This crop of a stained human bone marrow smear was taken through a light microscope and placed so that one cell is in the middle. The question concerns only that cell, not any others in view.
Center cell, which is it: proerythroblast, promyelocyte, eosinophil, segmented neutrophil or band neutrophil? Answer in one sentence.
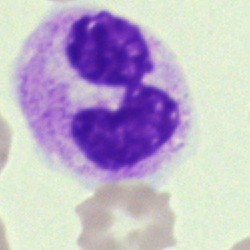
The crop's centre is taken up by a segmented neutrophil.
